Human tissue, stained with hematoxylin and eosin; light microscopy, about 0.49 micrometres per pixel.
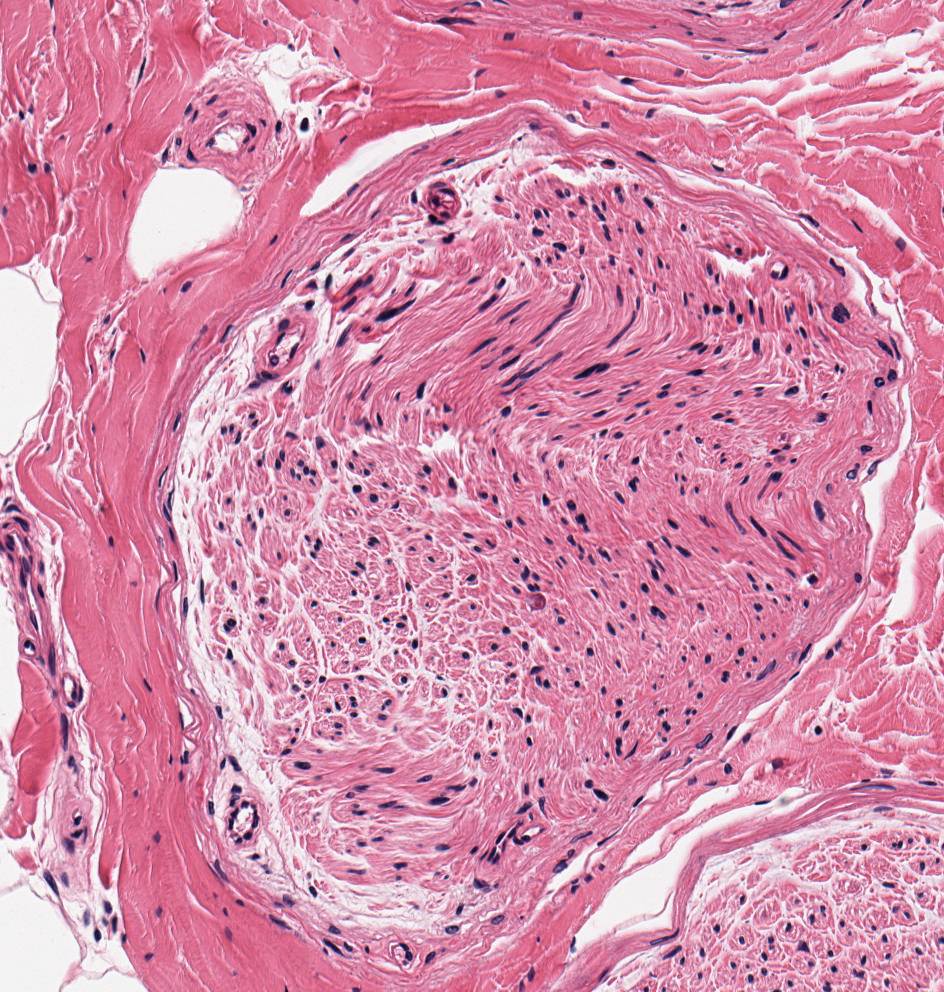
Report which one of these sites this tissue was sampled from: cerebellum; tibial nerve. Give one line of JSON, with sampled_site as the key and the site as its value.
{"sampled_site": "tibial nerve"}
